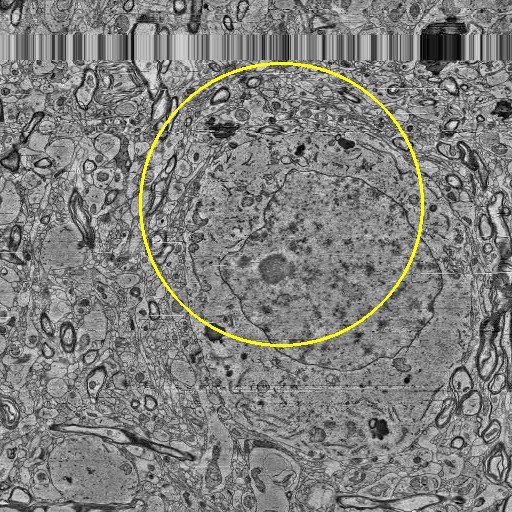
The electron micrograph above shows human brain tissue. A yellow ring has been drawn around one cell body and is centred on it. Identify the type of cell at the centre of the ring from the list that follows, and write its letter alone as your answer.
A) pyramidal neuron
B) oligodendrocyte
A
